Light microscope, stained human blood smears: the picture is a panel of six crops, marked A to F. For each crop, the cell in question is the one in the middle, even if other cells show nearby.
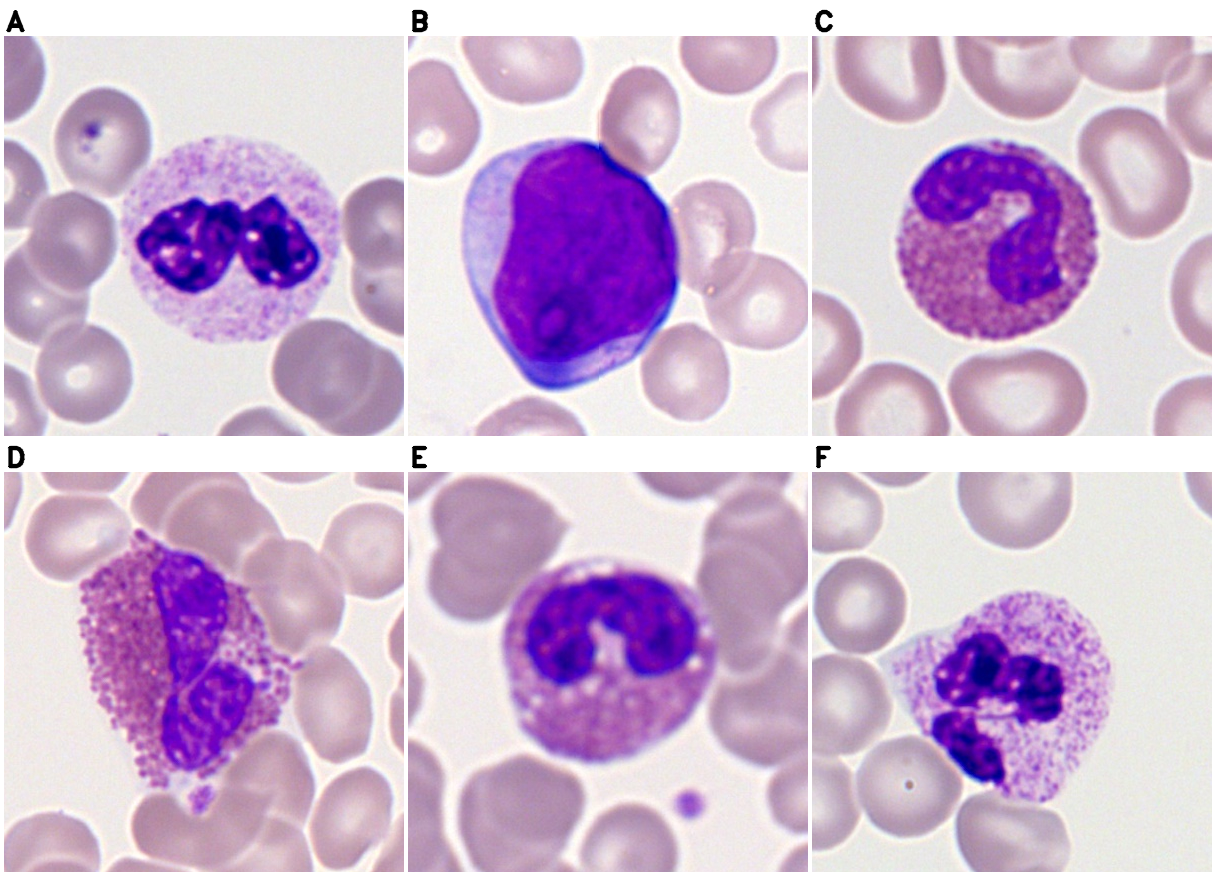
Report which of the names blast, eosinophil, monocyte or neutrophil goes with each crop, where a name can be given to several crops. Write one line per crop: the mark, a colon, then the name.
A: neutrophil
B: blast
C: eosinophil
D: eosinophil
E: eosinophil
F: neutrophil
